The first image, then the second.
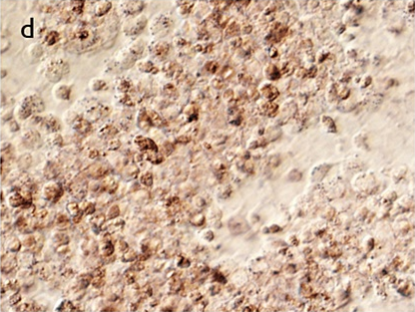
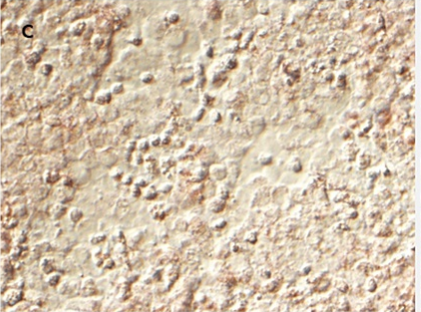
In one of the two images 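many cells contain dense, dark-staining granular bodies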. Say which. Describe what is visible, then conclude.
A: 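The first image. First image: many cells hold dark reddish-brown granular bodies, densely clustered.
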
